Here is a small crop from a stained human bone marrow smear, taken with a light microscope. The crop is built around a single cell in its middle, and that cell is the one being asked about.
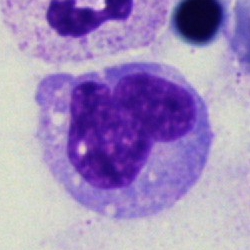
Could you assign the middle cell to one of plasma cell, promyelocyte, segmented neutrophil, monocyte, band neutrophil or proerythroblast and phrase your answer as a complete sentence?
What sits at the centre of this crop is a monocyte.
